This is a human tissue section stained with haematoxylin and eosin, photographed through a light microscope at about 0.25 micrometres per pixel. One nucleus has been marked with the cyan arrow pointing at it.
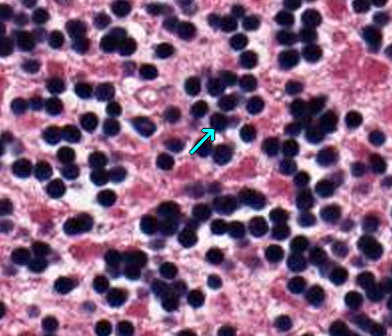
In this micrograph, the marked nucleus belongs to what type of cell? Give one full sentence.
As shown here, the nucleus that is marked is that of a cerebellar granule cell.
